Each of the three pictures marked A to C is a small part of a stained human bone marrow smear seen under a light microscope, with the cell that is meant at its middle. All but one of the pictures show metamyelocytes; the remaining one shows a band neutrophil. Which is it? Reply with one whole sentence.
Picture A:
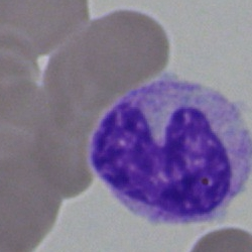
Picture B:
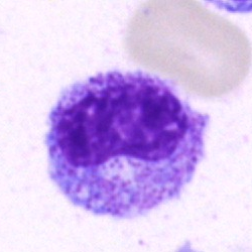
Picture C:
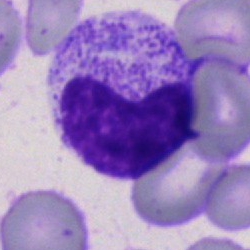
The picture with the band neutrophil is A.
